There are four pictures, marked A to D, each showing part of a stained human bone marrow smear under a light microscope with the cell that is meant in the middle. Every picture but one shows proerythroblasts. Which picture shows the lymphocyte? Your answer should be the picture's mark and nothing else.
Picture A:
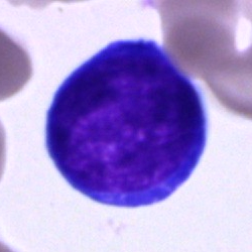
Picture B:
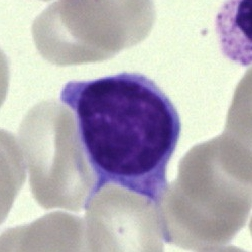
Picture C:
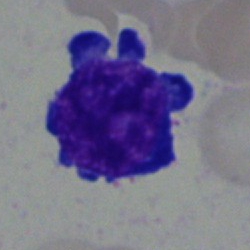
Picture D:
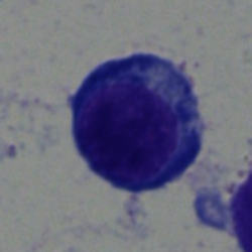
B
